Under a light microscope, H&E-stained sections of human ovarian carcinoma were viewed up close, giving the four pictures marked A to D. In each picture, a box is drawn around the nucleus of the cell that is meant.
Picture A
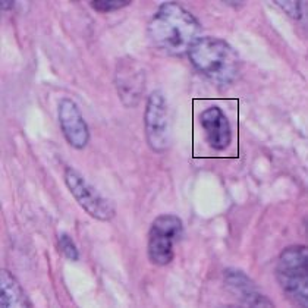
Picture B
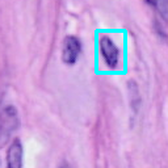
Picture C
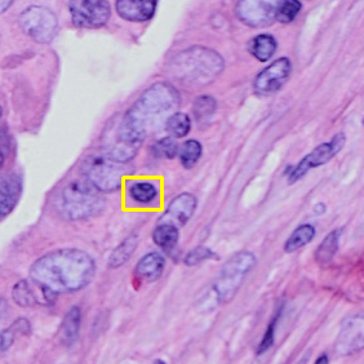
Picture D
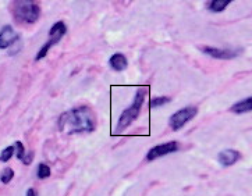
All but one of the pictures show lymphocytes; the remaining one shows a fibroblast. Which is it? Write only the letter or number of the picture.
D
